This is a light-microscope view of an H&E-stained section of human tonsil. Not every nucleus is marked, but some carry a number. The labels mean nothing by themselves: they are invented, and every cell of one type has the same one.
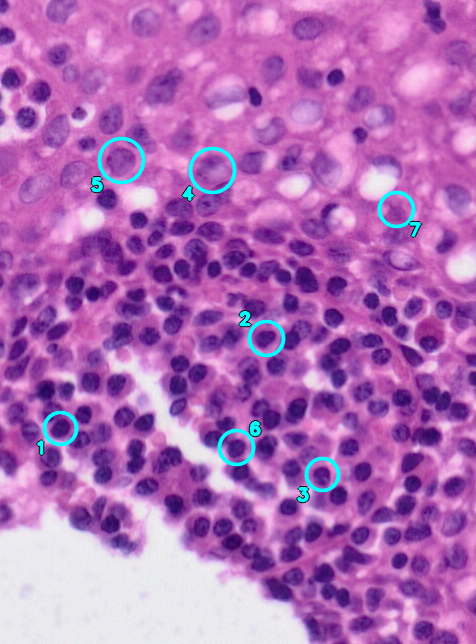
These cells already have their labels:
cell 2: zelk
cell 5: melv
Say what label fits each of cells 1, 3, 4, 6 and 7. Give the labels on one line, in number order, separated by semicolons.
zelk; zelk; melv; zelk; melv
